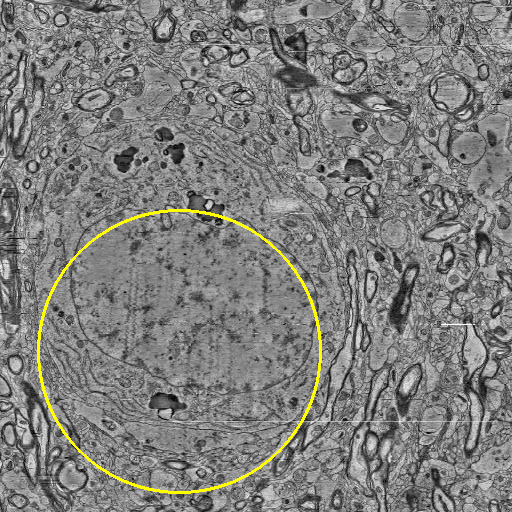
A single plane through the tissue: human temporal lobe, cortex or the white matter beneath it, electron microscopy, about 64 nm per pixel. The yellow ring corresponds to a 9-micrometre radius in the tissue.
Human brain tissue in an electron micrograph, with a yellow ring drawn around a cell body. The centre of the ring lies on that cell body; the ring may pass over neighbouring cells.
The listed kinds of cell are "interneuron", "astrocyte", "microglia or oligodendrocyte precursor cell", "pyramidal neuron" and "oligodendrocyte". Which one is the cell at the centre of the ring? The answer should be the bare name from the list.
interneuron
